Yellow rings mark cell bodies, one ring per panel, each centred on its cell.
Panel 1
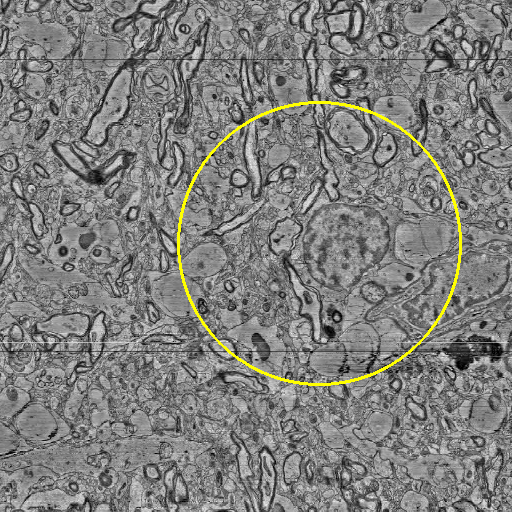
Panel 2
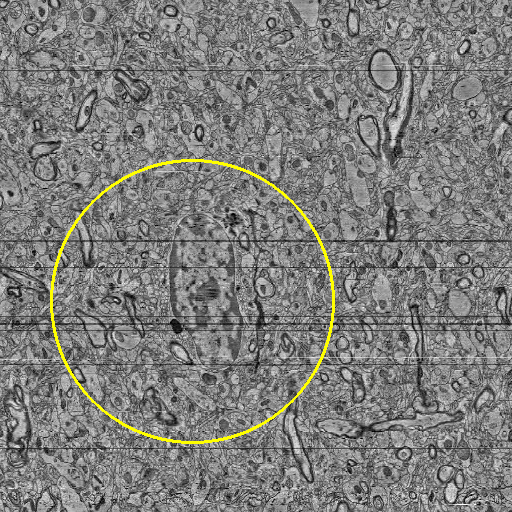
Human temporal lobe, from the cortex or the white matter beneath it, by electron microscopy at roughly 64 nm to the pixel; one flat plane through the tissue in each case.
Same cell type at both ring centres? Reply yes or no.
no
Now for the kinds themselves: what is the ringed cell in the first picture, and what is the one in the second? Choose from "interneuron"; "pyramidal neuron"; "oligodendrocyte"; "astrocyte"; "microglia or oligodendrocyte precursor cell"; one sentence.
Here the first cell is an oligodendrocyte and the second cell is a microglial cell or oligodendrocyte precursor cell.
